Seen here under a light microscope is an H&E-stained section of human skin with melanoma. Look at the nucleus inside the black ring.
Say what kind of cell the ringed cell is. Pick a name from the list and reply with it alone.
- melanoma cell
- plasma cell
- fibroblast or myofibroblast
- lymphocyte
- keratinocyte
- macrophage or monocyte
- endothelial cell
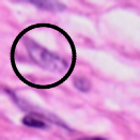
fibroblast or myofibroblast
